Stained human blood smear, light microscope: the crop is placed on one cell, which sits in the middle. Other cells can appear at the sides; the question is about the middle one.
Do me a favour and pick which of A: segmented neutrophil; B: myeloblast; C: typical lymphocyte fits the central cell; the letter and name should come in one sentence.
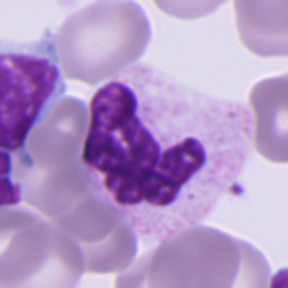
Option A is the correct selection, for the cell at the centre is a segmented neutrophil.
